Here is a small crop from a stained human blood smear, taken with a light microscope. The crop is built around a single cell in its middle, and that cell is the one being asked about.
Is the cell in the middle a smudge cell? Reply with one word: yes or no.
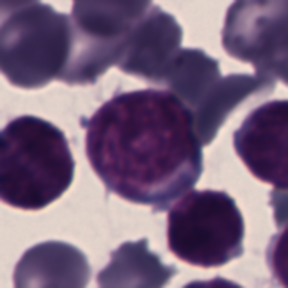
no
